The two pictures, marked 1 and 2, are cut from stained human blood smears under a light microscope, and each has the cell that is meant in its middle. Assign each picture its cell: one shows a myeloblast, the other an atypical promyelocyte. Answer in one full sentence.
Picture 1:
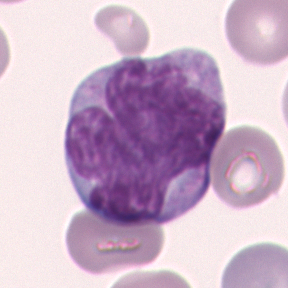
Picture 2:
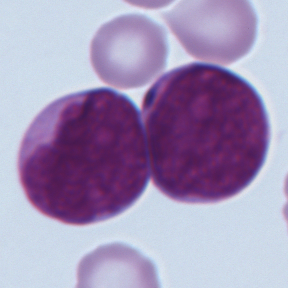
Picture 1 is of an atypical promyelocyte, and picture 2 is of a myeloblast.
